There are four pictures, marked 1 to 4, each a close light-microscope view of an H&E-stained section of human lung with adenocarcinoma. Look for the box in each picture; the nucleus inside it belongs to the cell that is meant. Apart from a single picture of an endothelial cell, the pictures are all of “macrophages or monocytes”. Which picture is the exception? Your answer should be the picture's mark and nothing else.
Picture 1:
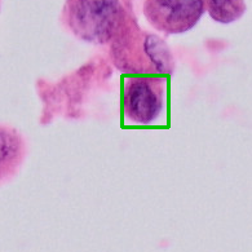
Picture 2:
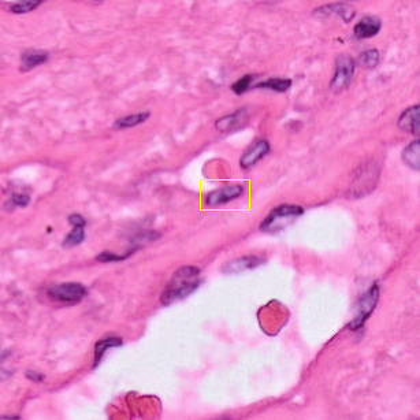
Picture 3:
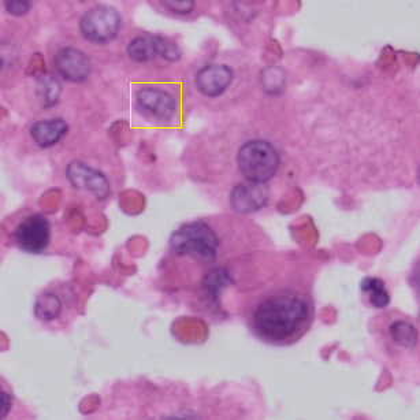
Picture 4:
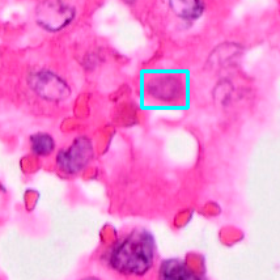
2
